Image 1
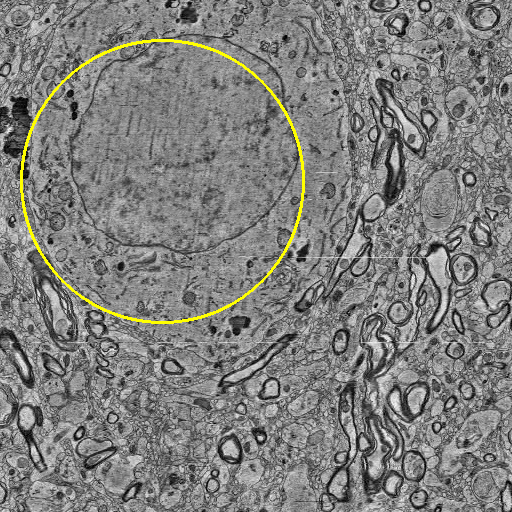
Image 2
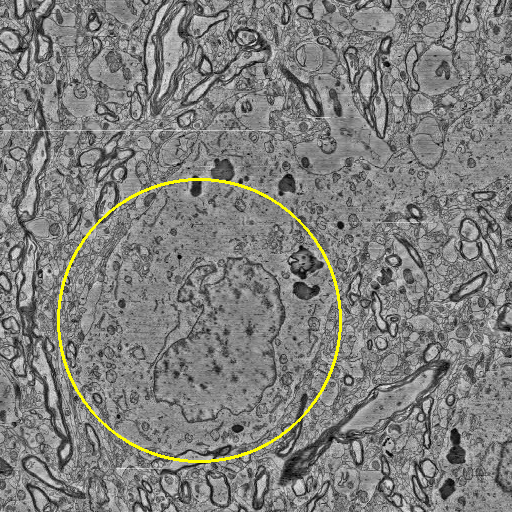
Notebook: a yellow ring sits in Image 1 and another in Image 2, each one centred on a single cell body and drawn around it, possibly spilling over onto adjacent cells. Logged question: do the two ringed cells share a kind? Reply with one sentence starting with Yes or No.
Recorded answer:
Yes, both centre cells inside the rings of Image 1 and Image 2 share one kind.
